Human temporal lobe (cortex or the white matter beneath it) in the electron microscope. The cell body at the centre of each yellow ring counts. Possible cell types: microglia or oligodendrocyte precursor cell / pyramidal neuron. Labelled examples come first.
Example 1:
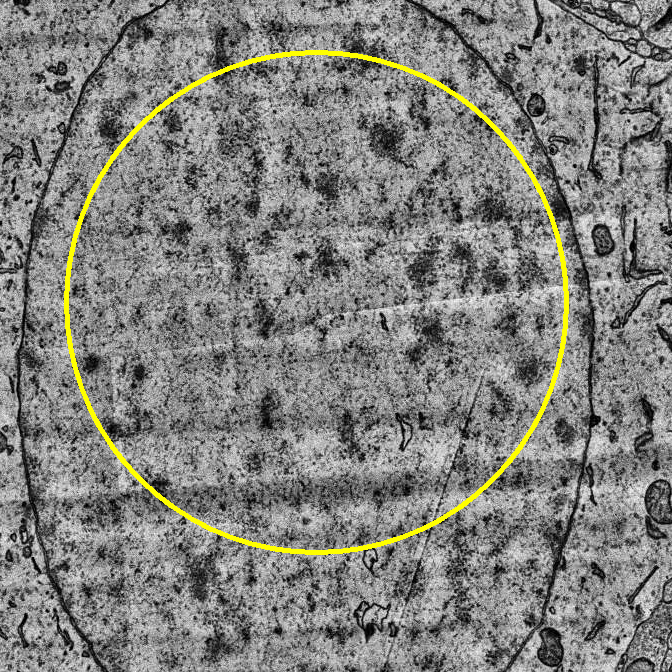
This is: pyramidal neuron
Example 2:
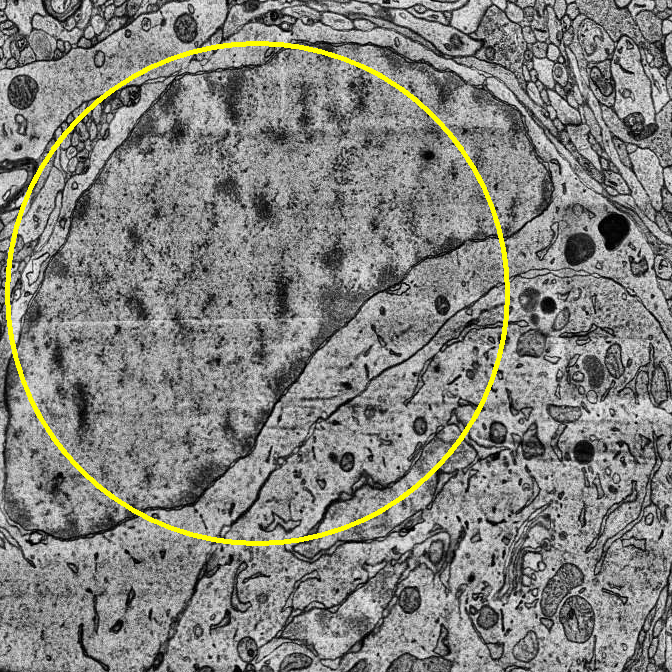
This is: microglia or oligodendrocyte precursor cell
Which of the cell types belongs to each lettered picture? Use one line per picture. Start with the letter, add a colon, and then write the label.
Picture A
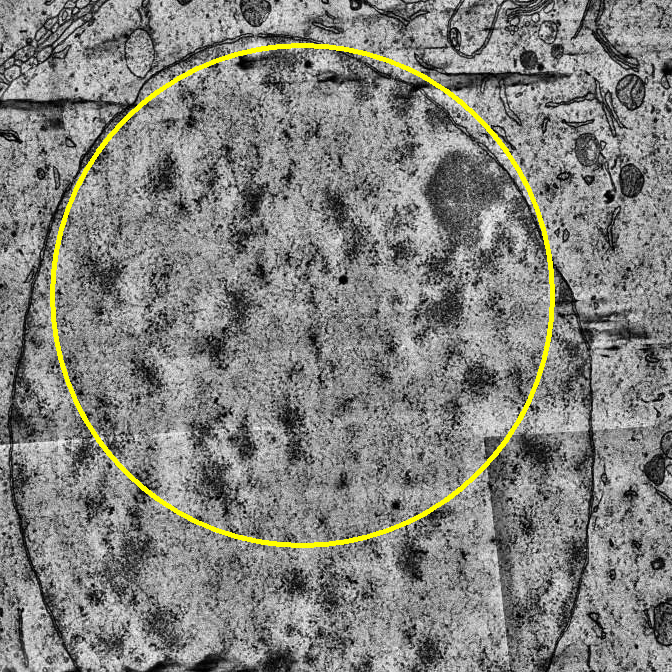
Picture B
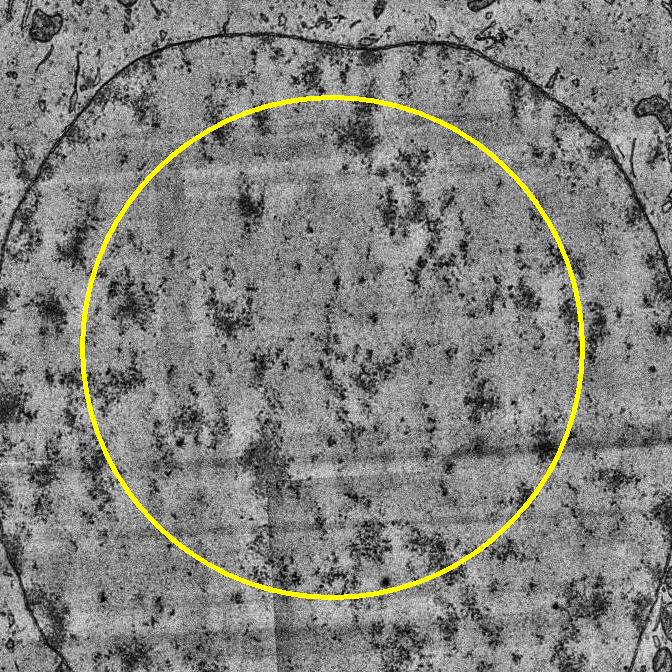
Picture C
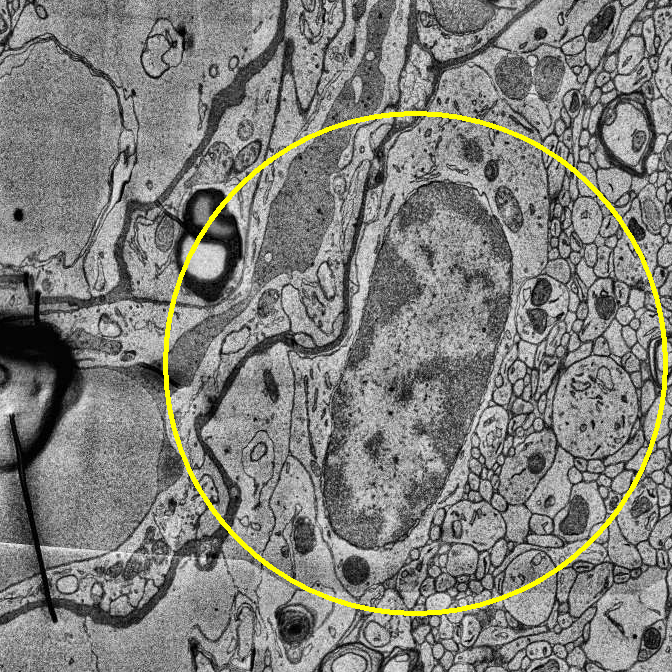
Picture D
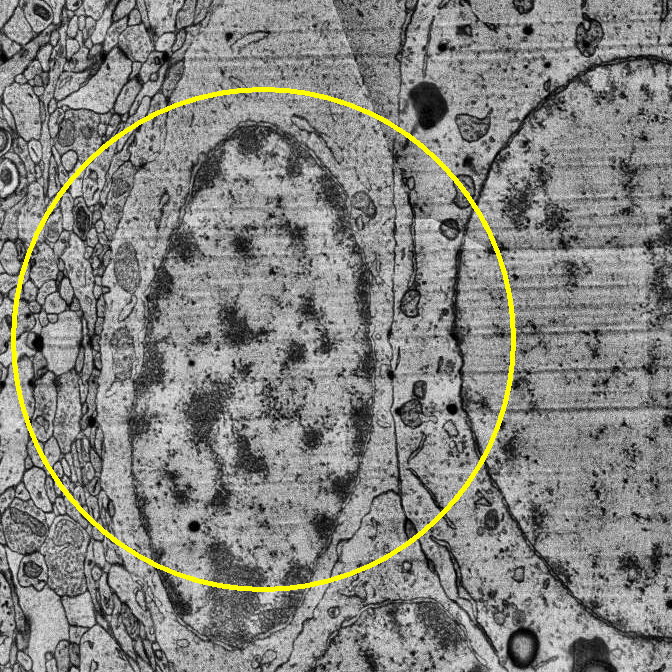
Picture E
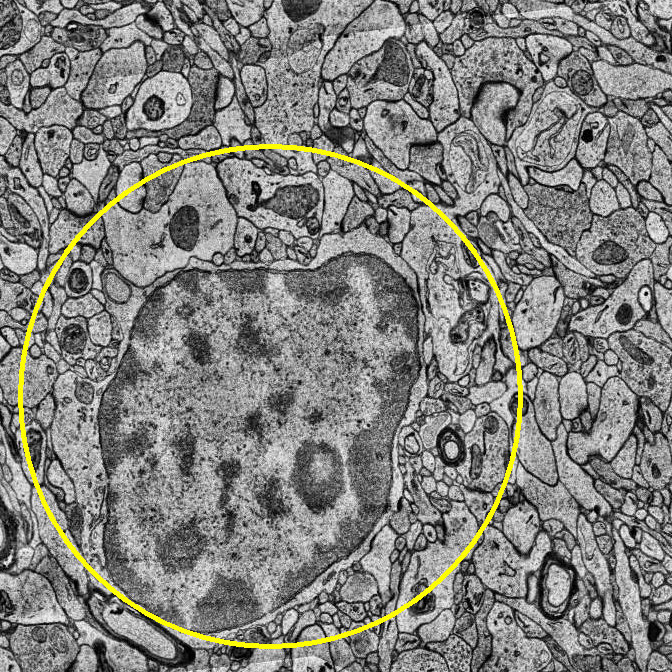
A: pyramidal neuron
B: pyramidal neuron
C: microglia or oligodendrocyte precursor cell
D: microglia or oligodendrocyte precursor cell
E: microglia or oligodendrocyte precursor cell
